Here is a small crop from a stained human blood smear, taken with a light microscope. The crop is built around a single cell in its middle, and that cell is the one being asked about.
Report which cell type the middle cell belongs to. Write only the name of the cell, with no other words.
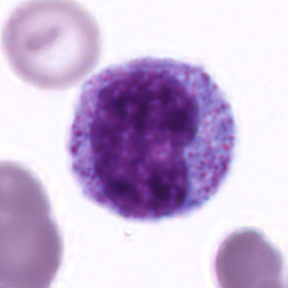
myelocyte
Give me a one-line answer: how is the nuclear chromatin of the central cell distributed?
The chromatin in this nucleus is coarsely clumped.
